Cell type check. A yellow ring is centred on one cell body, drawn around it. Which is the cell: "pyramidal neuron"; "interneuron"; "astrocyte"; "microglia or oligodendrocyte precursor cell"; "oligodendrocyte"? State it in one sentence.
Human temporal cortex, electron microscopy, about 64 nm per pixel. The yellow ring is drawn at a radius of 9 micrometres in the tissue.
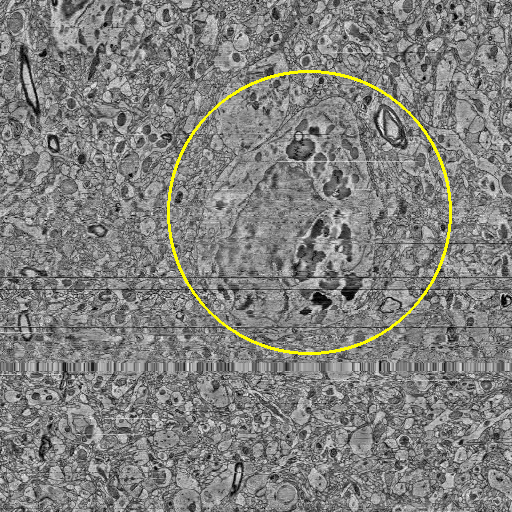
The cell body at the ring's centre belongs to an interneuron.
